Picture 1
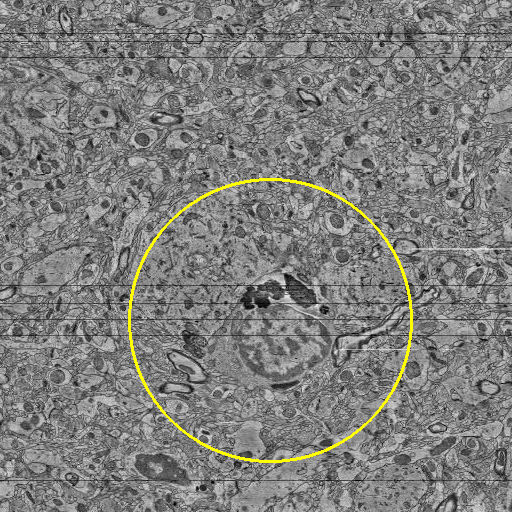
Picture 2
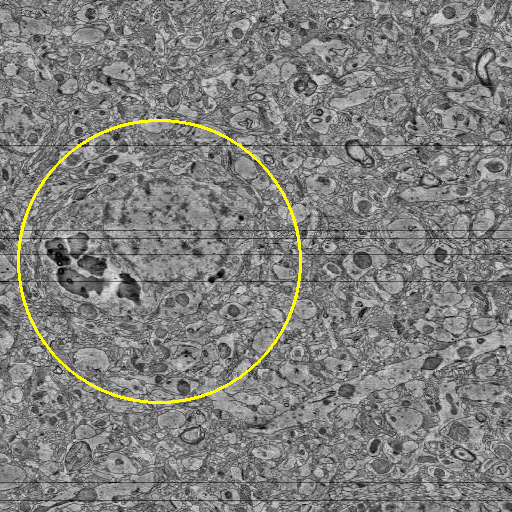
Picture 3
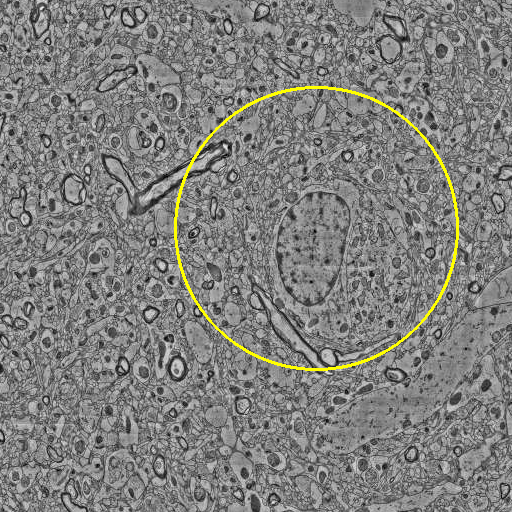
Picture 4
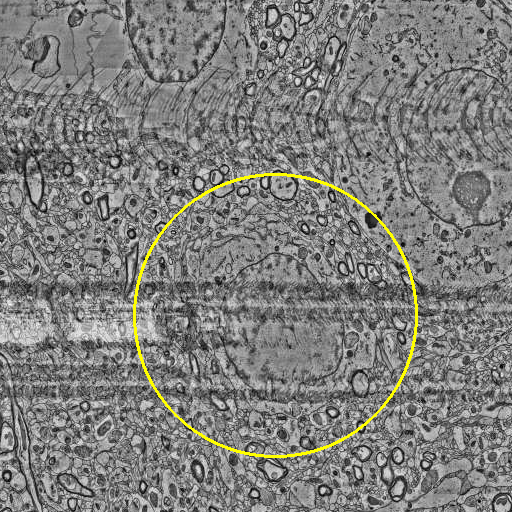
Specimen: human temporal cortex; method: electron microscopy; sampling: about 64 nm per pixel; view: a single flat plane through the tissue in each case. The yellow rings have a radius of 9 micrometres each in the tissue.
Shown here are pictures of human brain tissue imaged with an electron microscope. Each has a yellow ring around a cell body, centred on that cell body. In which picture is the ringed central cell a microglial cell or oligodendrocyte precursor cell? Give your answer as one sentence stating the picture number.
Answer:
My answer is picture 3, where the ringed cell at the centre is the one sought.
